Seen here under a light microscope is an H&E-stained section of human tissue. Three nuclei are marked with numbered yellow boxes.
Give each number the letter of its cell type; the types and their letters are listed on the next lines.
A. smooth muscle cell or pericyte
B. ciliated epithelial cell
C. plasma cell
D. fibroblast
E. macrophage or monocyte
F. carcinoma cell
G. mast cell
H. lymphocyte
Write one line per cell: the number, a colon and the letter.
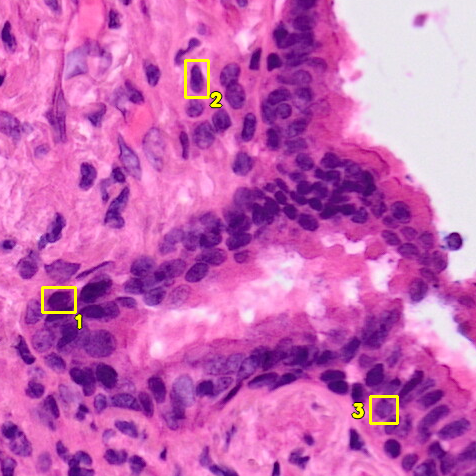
1: B
2: H
3: B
